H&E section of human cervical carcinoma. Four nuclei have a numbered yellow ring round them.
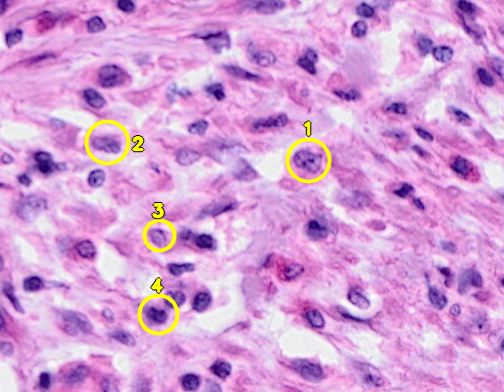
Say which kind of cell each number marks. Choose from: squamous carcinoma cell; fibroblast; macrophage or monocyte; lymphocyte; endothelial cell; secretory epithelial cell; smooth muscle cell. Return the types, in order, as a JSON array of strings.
["macrophage or monocyte", "macrophage or monocyte", "macrophage or monocyte", "lymphocyte"]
